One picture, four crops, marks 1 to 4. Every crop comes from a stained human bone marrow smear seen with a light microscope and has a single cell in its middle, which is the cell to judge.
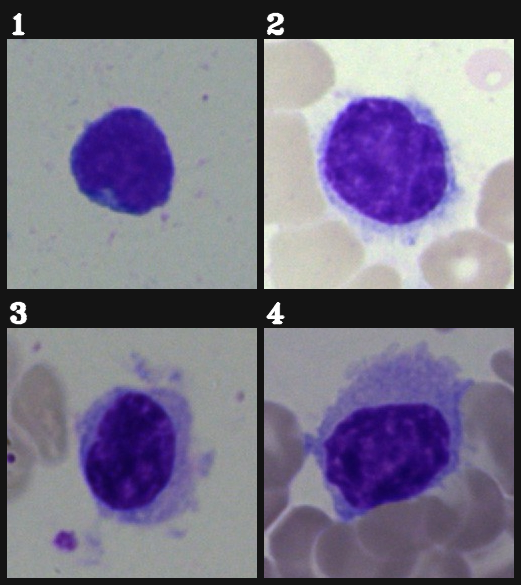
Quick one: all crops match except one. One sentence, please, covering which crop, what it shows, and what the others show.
All the crops show hairy cells, barring crop 1, which is a blast.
